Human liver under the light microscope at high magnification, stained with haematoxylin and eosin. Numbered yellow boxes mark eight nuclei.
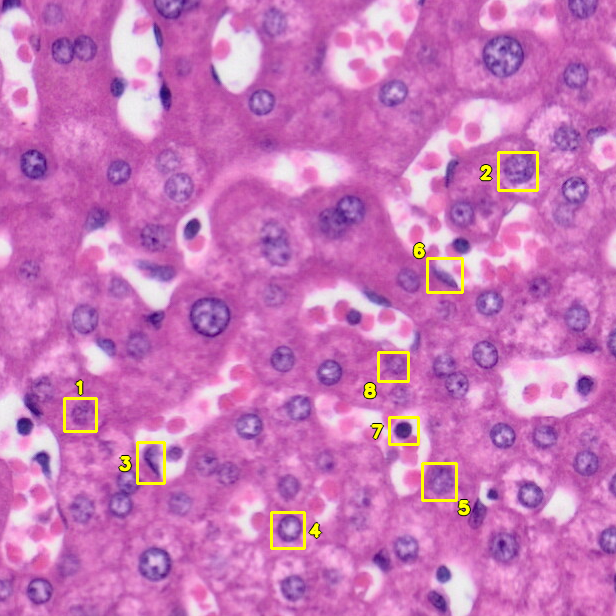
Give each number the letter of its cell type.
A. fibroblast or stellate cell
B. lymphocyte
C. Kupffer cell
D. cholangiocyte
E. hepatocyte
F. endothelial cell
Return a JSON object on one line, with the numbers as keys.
{"1": "E", "2": "E", "3": "C", "4": "E", "5": "E", "6": "F", "7": "B", "8": "E"}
